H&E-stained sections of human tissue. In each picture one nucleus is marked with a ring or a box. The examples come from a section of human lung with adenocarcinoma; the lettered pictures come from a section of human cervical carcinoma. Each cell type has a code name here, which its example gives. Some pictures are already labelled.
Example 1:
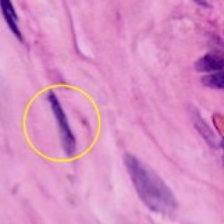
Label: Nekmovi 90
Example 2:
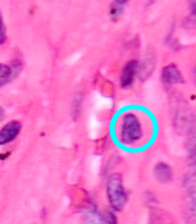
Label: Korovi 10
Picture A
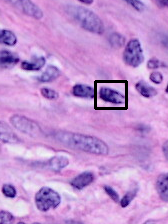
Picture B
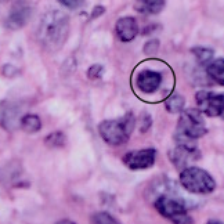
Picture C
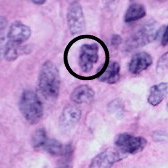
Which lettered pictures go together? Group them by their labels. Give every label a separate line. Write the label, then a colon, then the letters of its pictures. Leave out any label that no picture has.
Korovi 10: A, B, C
